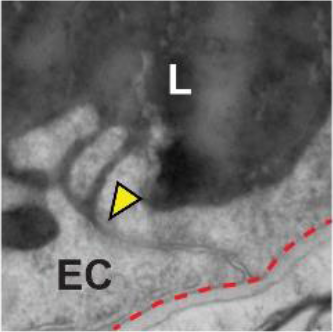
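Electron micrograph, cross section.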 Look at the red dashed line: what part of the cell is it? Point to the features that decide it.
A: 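Abluminal membranes. The red dashed line runs along the outer edge of a thin cell layer. The line lies on the side away from the dark-filled space.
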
